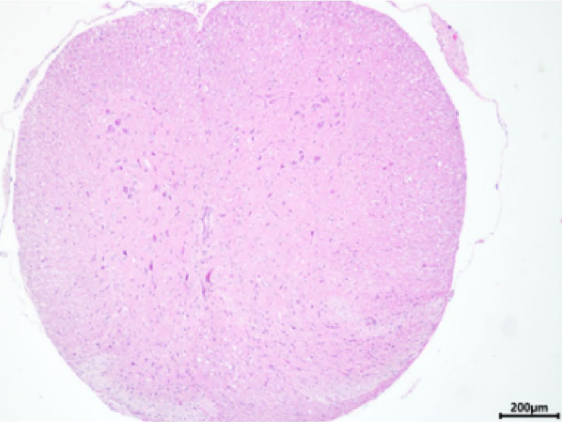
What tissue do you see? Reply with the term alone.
Spinal cord.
